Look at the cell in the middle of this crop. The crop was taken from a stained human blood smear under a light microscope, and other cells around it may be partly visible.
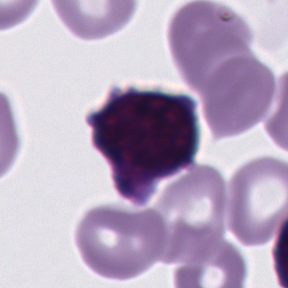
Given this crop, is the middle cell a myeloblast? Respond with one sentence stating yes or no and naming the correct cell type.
Yes, the centre of the crop holds a myeloblast.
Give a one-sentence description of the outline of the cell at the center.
Not smooth, the outline of the cell is ragged or drawn out into projections.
